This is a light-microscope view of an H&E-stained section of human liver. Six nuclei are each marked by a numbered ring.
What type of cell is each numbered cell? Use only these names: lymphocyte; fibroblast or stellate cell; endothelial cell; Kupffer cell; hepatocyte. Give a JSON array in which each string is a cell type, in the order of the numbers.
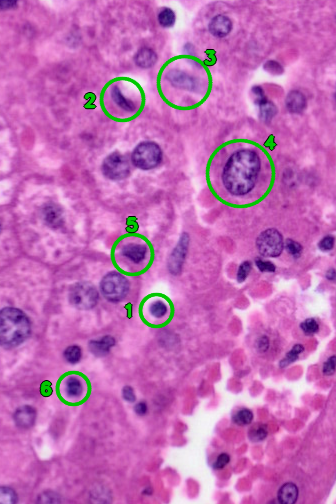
["lymphocyte", "endothelial cell", "Kupffer cell", "hepatocyte", "fibroblast or stellate cell", "lymphocyte"]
